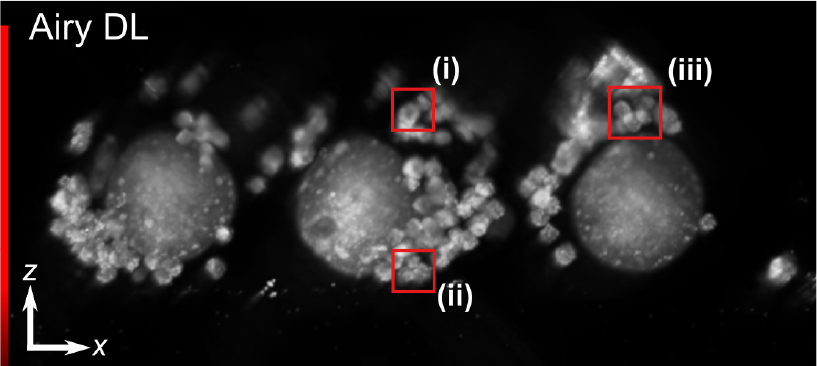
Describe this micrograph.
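These are three cumulus oocyte complexes seen in cross-section: each has a large, round, finely speckled central body surrounded by clusters of small, bright, rounded cumulus cells. The cumulus cells pack tightly in crescents and clumps against one side of the large body, and their individual rounded outlines can be told apart.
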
